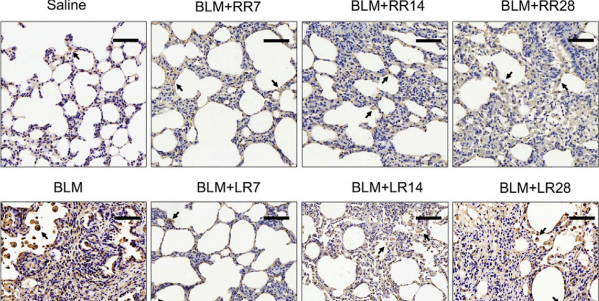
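This is a set of lung sections showing rounded air spaces separated by thin walls, with blue nuclei scattered along the walls and occasional brown-stained cells. In several images the alveolar walls are delicate and the air spaces are wide open, with only a few brown cells sitting in or against the walls. In others the walls are thickened and crowded with nuclei, and the air spaces are smaller or partly collapsed. The most crowded image has many large, rounded, strongly brown cells lying within the air spaces and in the thickened tissue. These brown, rounded cells within and beside the alveoli fit macrophages.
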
